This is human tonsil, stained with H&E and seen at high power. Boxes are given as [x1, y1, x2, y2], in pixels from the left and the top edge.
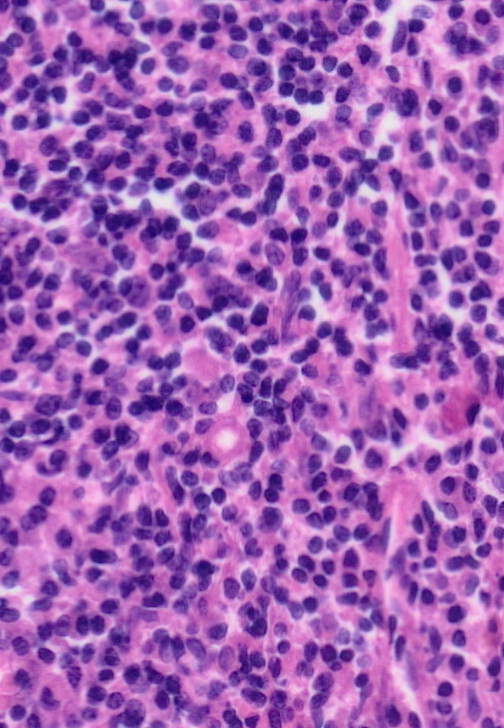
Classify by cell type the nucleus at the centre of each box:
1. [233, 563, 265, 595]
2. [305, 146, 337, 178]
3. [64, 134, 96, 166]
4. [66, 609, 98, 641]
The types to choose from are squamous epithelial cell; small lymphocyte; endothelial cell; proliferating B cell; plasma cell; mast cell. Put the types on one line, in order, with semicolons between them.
small lymphocyte; small lymphocyte; small lymphocyte; plasma cell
